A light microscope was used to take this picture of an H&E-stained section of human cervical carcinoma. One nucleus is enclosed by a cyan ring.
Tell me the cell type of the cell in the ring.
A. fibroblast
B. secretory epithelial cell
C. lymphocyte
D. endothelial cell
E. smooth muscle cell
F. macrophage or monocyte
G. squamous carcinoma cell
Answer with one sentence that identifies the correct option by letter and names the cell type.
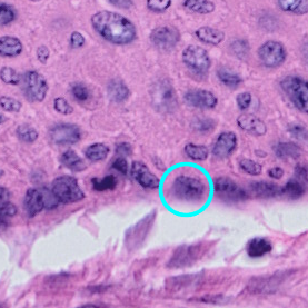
Option G correctly identifies the cell in the ring as a squamous carcinoma cell.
